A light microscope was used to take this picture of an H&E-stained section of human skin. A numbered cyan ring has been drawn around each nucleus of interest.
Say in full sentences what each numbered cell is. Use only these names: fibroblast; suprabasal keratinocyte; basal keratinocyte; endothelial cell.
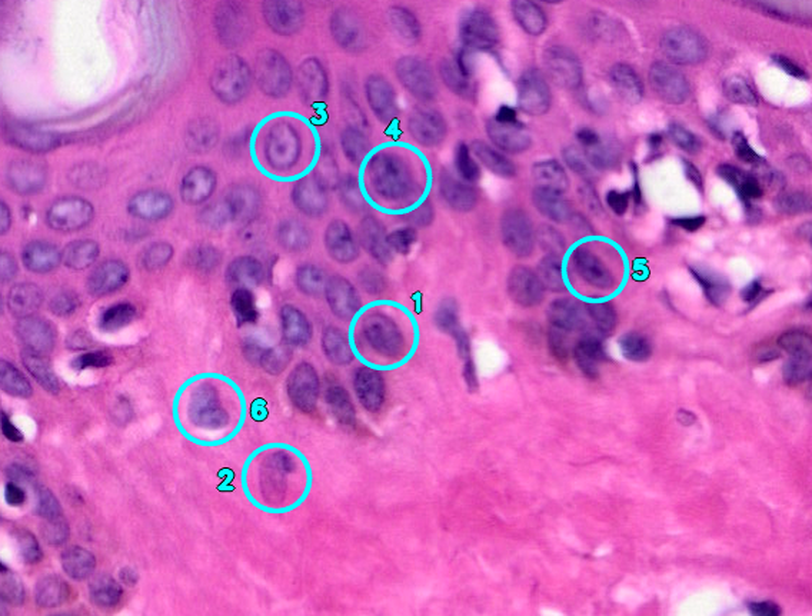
Cells 1, 4 and 5 are basal keratinocytes. Cells 2 and 6 are fibroblasts. Cell 3 is a suprabasal keratinocyte.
